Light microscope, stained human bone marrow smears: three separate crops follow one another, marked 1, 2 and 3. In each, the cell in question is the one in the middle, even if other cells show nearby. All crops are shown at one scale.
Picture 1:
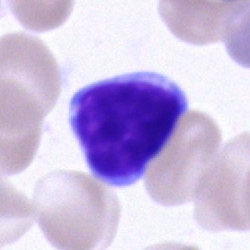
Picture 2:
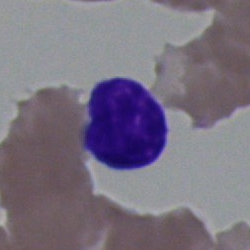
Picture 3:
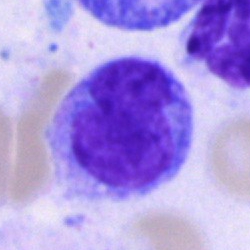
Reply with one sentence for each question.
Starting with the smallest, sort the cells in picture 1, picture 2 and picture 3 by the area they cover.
From the smallest up, the order is 2, 1, 3.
